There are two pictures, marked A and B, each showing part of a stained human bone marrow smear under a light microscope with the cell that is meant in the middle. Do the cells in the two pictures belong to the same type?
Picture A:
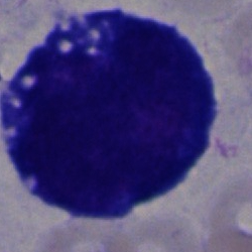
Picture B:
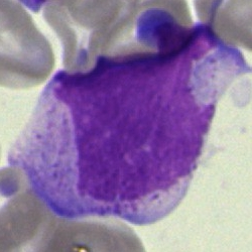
yes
